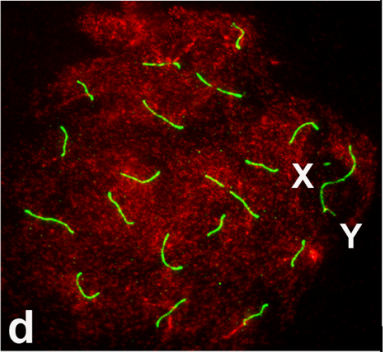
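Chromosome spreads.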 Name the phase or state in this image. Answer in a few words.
Pachytene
